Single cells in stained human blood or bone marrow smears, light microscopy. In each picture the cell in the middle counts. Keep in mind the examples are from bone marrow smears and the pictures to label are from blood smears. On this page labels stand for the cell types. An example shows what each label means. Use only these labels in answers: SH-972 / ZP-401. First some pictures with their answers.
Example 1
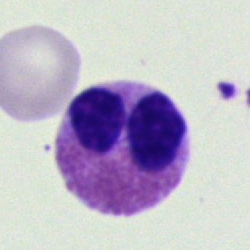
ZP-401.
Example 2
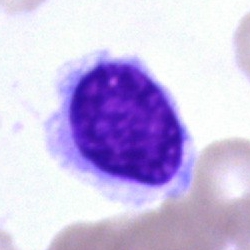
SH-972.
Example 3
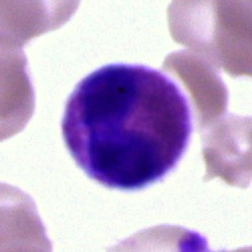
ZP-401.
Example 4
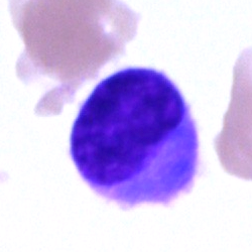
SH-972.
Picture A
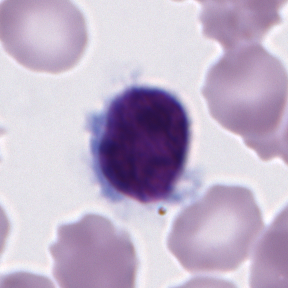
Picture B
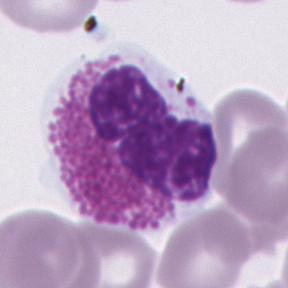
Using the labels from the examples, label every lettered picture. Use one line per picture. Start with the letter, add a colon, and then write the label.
A: SH-972.
B: ZP-401.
